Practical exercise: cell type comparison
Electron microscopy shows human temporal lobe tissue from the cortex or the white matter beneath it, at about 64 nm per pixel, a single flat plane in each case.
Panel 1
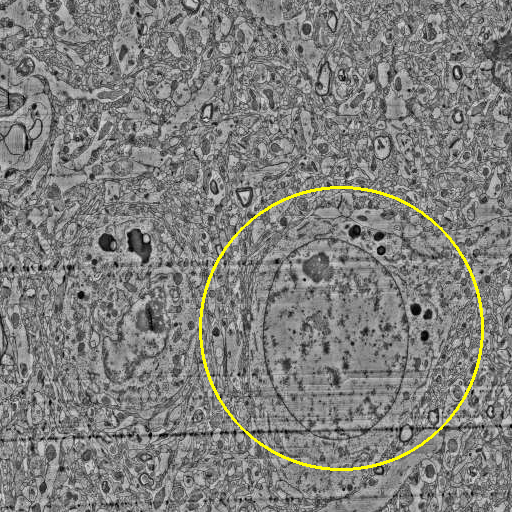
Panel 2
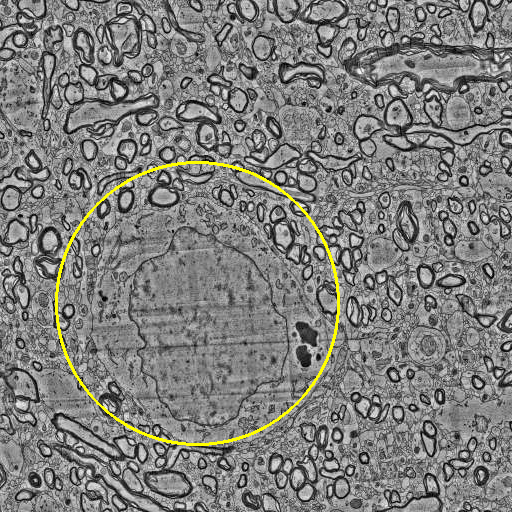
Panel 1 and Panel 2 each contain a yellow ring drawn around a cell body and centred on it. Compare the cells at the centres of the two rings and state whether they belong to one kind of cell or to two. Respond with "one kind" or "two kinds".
one kind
